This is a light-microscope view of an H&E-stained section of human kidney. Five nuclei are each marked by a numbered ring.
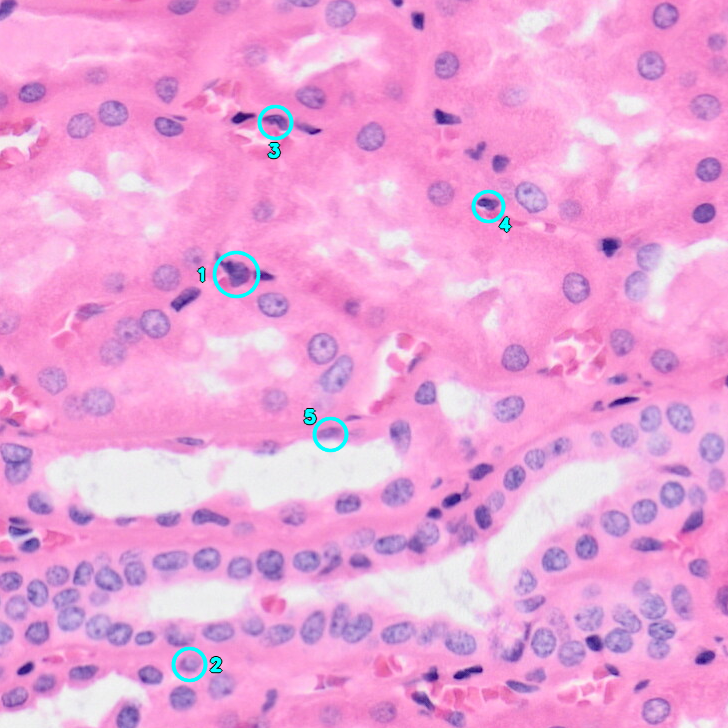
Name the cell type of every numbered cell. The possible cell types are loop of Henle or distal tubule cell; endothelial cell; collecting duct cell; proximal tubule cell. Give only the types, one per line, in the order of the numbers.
endothelial cell
loop of Henle or distal tubule cell
endothelial cell
endothelial cell
loop of Henle or distal tubule cell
